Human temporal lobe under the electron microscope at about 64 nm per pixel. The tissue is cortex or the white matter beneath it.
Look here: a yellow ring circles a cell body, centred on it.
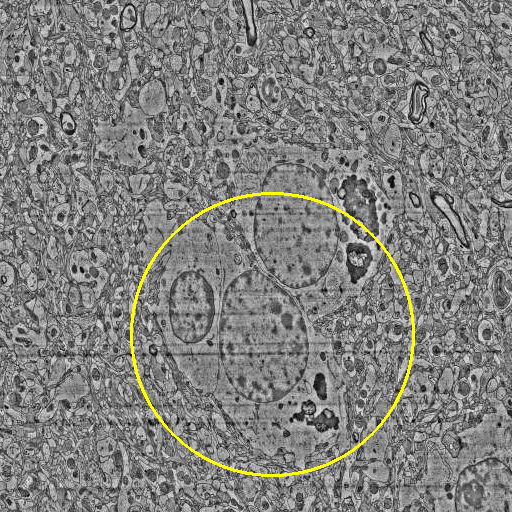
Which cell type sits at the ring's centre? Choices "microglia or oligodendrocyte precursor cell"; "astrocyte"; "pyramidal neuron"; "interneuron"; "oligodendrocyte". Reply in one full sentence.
The cell at the centre of the yellow ring in the picture is an astrocyte.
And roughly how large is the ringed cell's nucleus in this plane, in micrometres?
Roughly 9 by 6 micrometres; in this plane, clearly longer than it is wide.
